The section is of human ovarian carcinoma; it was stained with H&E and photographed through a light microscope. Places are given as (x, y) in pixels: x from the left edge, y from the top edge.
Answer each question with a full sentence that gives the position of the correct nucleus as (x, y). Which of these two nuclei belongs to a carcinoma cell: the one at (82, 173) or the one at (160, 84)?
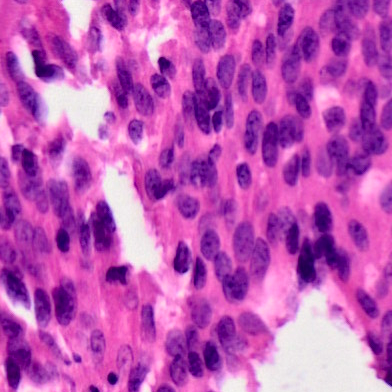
Belonging to a carcinoma cell is the nucleus at (82, 173).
